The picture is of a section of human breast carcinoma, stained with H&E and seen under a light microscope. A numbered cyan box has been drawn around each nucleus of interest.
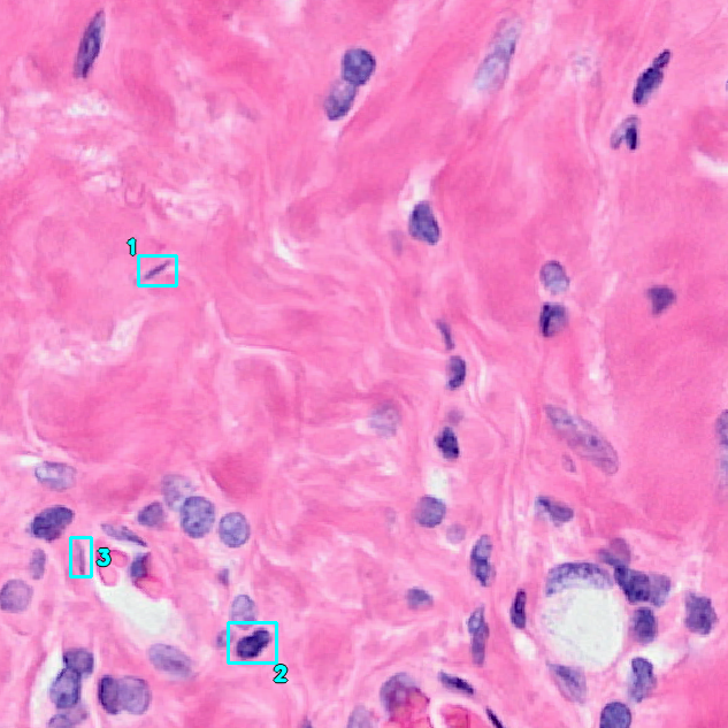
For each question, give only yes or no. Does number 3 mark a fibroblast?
no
